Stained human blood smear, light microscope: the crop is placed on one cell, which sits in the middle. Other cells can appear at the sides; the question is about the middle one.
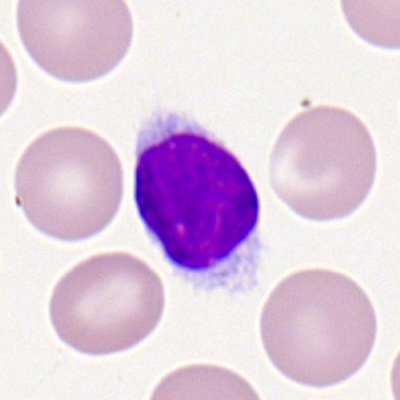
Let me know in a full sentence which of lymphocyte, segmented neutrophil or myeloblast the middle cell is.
The target cell in the middle of the crop is a lymphocyte.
